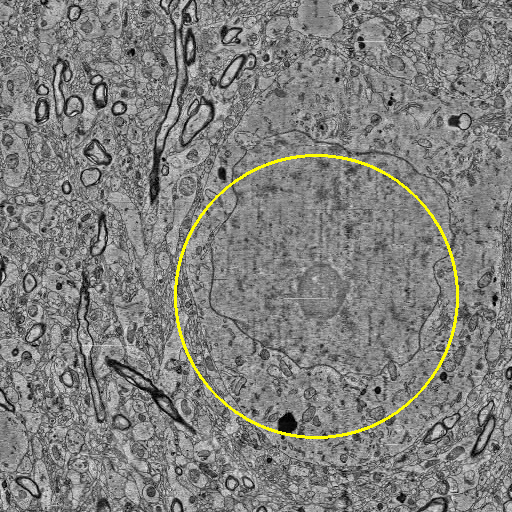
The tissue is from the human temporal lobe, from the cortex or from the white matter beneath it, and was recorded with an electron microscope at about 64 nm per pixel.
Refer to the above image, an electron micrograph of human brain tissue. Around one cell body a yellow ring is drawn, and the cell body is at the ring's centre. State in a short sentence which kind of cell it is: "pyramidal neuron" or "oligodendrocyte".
The centre of the ring falls on a pyramidal neuron.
